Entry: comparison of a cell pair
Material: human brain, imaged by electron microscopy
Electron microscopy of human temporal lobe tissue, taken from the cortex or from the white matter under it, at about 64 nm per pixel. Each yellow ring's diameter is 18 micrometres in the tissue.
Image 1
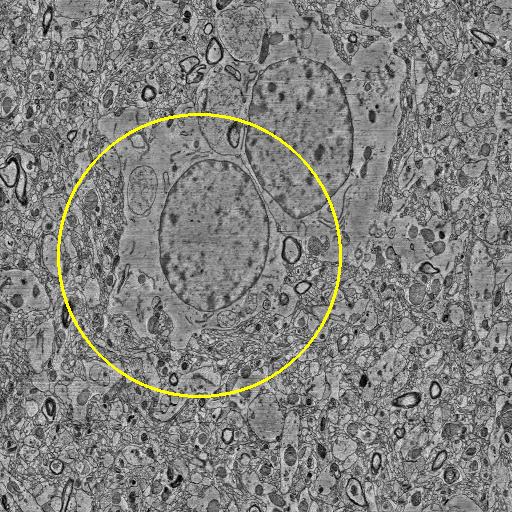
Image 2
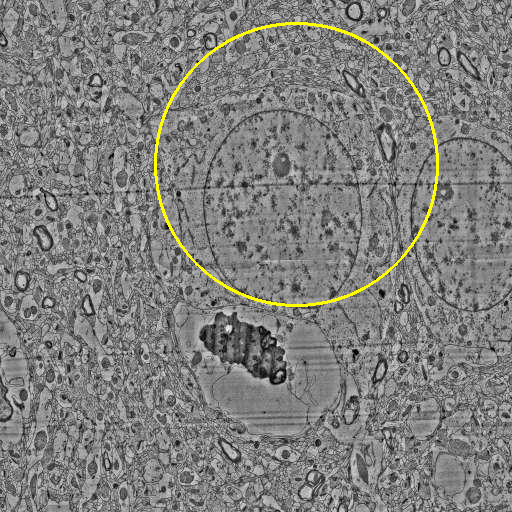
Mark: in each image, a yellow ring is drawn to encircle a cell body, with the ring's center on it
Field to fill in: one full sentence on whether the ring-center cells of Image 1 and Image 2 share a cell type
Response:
No, Image 1 and Image 2 show ring-center cells of two separate types.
